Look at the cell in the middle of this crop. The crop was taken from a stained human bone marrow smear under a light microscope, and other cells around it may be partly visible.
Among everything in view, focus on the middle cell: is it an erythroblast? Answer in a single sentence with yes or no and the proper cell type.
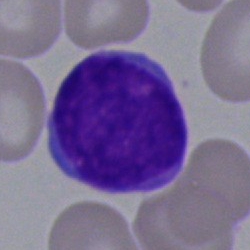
No, not an erythroblast here; the centered cell is a blast.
